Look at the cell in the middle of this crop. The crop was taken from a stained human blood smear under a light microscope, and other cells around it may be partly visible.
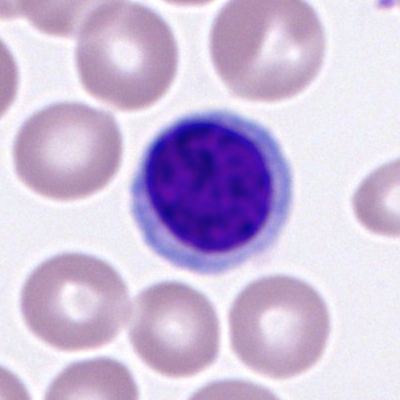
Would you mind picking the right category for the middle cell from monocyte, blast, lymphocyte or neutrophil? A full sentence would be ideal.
Occupying the centre of the crop is a lymphocyte.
